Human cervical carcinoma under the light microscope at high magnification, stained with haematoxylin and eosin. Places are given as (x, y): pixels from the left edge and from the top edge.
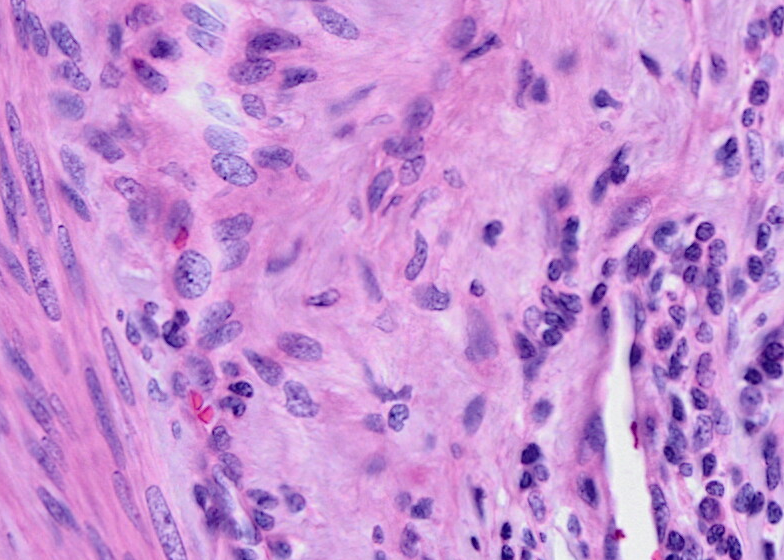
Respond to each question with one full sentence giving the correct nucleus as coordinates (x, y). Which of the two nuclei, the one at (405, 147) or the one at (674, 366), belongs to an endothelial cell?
Of the two options, the nucleus at (405, 147) is the one that belongs to an endothelial cell.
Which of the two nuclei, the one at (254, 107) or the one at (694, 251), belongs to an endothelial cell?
That would be the nucleus at (254, 107); it belongs to an endothelial cell.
